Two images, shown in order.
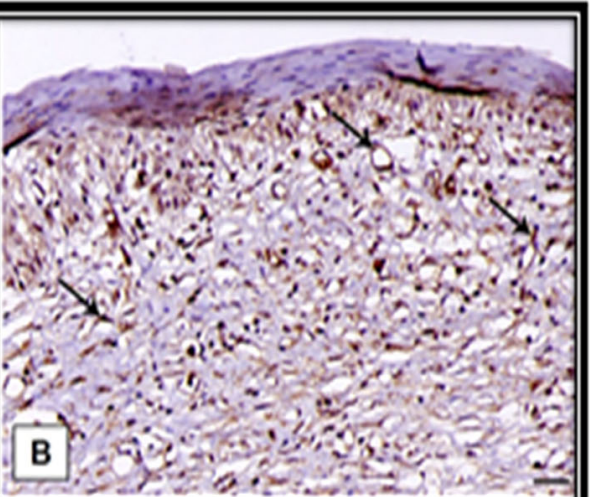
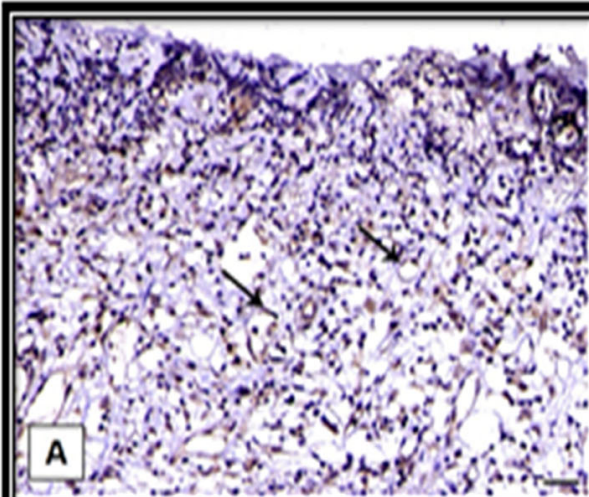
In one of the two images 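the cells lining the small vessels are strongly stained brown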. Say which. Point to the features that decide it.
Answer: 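The first image. First image: many vessel-lining and stromal cells show distinct brown staining. Second image: tissue is mostly blue-purple with only faint brown in a few cells.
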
